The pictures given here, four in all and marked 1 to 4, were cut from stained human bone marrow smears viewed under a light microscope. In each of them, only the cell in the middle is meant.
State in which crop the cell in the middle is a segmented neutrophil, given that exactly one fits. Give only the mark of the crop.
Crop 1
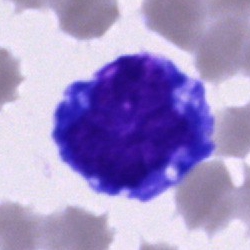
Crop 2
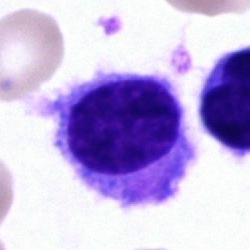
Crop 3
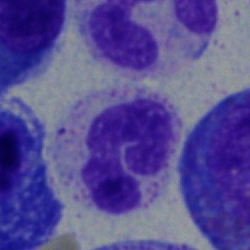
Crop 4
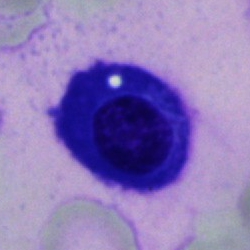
3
